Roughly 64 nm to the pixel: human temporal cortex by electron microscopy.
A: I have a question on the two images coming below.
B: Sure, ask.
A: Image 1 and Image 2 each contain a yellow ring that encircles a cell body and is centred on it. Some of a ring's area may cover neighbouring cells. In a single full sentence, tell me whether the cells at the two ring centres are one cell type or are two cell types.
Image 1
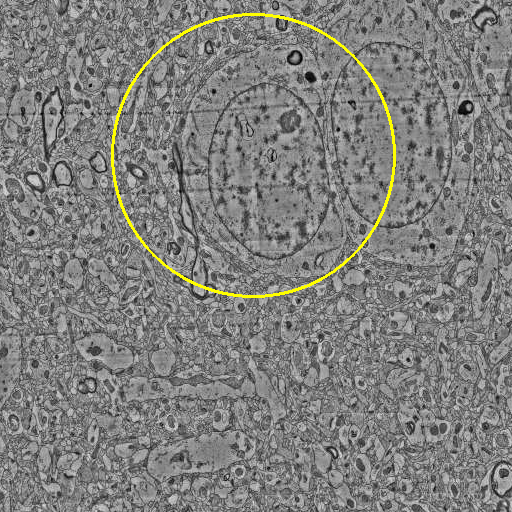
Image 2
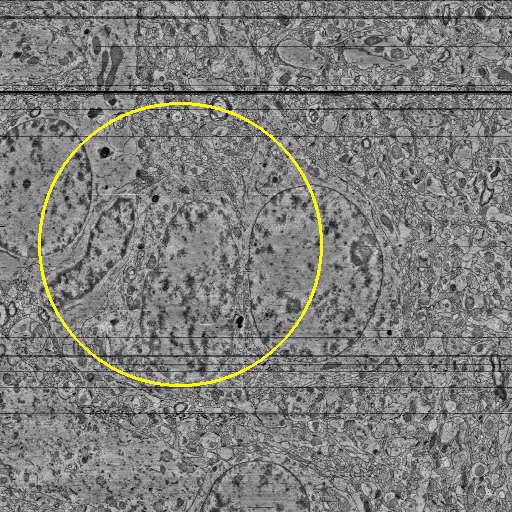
As for the ring-centre cells, the one in Image 1 and the one in Image 2 are two cell types.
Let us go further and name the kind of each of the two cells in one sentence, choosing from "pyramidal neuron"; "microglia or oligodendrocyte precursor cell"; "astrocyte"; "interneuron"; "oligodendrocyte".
The ring of the first picture is on a pyramidal neuron, the ring of the second on an interneuron.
